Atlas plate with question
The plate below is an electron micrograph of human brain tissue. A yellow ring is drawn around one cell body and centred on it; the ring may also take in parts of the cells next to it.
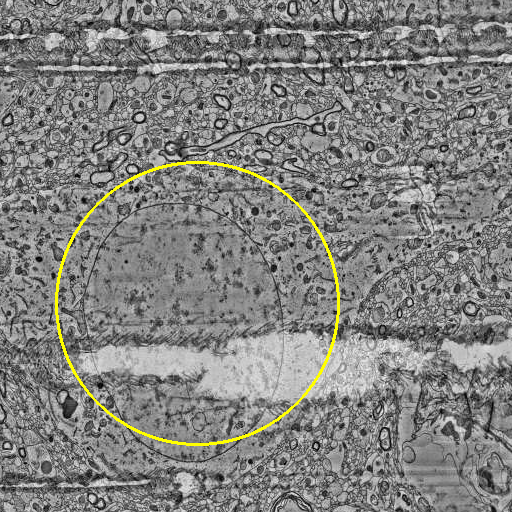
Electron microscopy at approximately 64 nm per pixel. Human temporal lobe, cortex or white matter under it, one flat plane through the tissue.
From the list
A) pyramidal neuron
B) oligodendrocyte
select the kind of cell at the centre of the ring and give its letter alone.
A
